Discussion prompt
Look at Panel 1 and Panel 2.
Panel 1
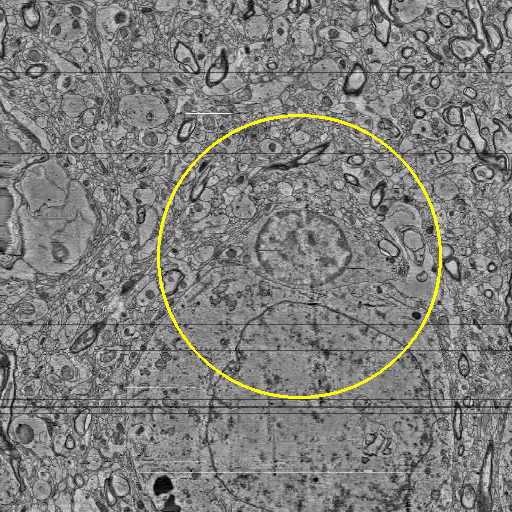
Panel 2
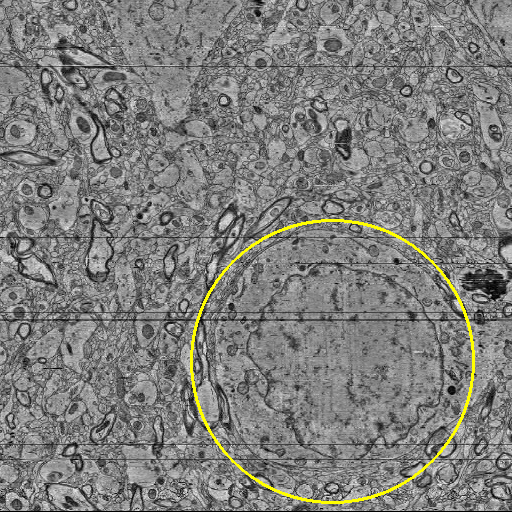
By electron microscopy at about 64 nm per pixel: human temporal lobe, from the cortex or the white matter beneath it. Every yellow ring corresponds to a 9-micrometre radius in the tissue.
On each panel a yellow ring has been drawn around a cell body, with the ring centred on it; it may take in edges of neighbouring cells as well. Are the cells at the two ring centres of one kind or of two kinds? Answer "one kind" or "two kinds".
two kinds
